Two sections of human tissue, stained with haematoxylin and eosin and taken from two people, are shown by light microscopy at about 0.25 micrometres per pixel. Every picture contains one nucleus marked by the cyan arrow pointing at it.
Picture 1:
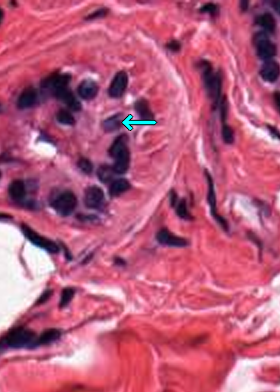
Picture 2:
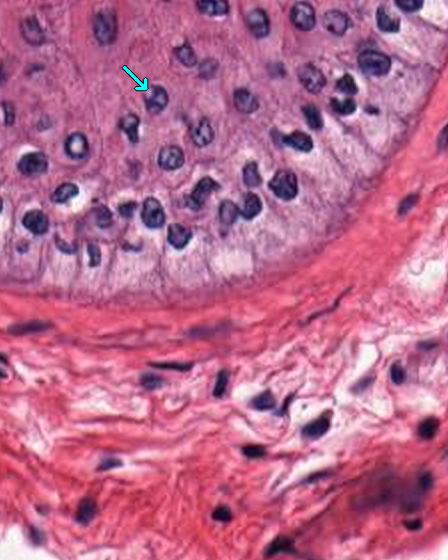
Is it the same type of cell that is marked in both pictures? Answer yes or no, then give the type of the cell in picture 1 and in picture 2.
No, the first is a sweat gland cell and the second a keratinocyte.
